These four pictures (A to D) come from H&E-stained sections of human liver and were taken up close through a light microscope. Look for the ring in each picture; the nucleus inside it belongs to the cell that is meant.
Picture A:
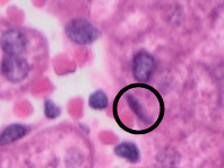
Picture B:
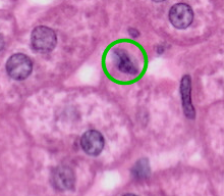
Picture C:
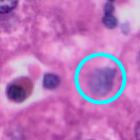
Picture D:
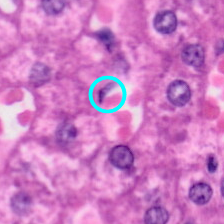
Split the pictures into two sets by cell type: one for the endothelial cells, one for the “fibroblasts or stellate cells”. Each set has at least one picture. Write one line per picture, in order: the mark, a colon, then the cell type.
A: fibroblast or stellate cell
B: endothelial cell
C: endothelial cell
D: endothelial cell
